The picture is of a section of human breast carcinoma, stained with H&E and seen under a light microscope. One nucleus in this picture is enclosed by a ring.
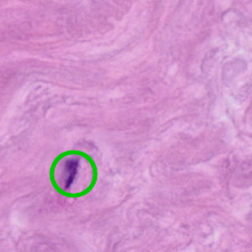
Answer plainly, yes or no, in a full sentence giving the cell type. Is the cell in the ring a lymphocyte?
No, on this slide the cell in the ring is a fibroblast, not a lymphocyte.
